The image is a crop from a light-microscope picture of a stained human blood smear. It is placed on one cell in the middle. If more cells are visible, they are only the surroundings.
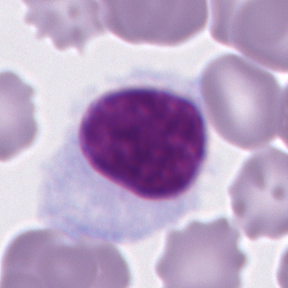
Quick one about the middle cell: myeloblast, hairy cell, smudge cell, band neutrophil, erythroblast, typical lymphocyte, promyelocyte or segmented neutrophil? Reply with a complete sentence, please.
The middle of this crop is occupied by a hairy cell.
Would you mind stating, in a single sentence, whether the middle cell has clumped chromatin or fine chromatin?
This nucleus has coarsely clumped chromatin.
